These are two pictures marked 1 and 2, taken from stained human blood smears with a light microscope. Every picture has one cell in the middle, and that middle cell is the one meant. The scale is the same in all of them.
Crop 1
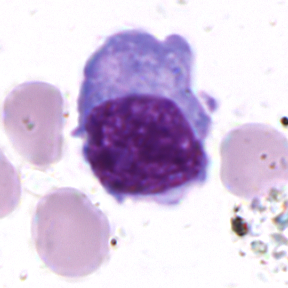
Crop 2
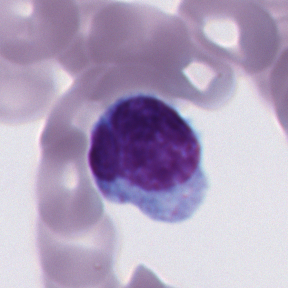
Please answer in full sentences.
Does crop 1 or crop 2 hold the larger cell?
Larger is the cell in crop 1, at roughly 1.5 times the area of the other.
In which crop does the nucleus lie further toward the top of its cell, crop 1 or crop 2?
Seen within its cell, the nucleus in crop 2 lies further toward the top.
